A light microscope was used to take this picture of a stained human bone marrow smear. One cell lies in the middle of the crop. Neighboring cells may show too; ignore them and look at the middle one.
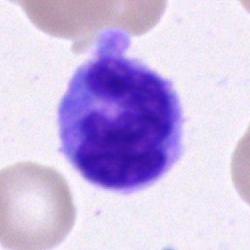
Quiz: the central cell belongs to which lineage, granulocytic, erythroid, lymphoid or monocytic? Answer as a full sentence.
Lineage-wise, the cell in the center of the crop is monocytic.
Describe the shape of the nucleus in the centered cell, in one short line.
Multiple nuclear lobes, two or more, can be counted in this cell.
